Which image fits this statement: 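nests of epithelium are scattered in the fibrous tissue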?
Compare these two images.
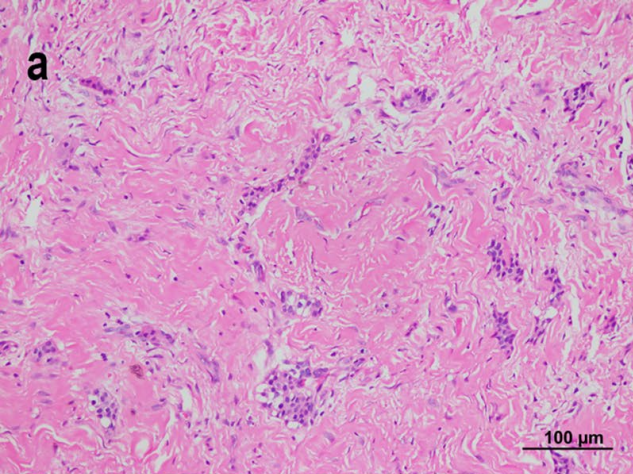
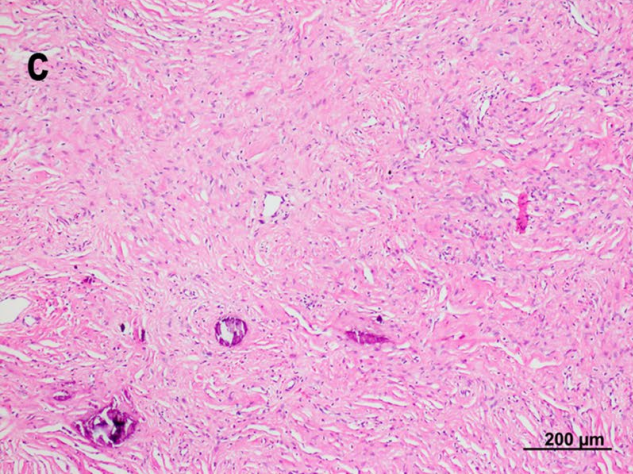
The first image.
